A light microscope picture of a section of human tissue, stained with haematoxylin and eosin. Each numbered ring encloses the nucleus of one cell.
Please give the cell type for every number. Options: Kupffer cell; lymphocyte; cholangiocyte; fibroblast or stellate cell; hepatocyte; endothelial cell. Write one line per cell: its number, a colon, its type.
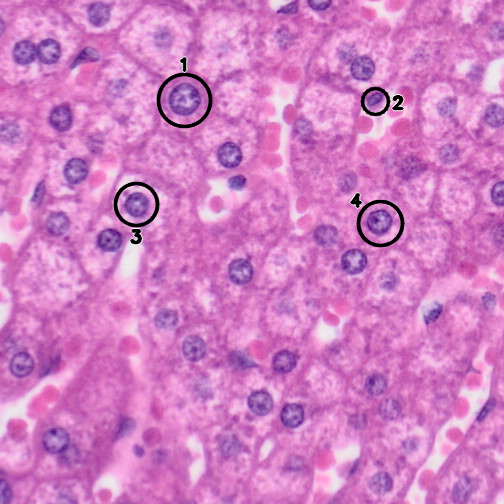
1: hepatocyte
2: Kupffer cell
3: hepatocyte
4: hepatocyte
